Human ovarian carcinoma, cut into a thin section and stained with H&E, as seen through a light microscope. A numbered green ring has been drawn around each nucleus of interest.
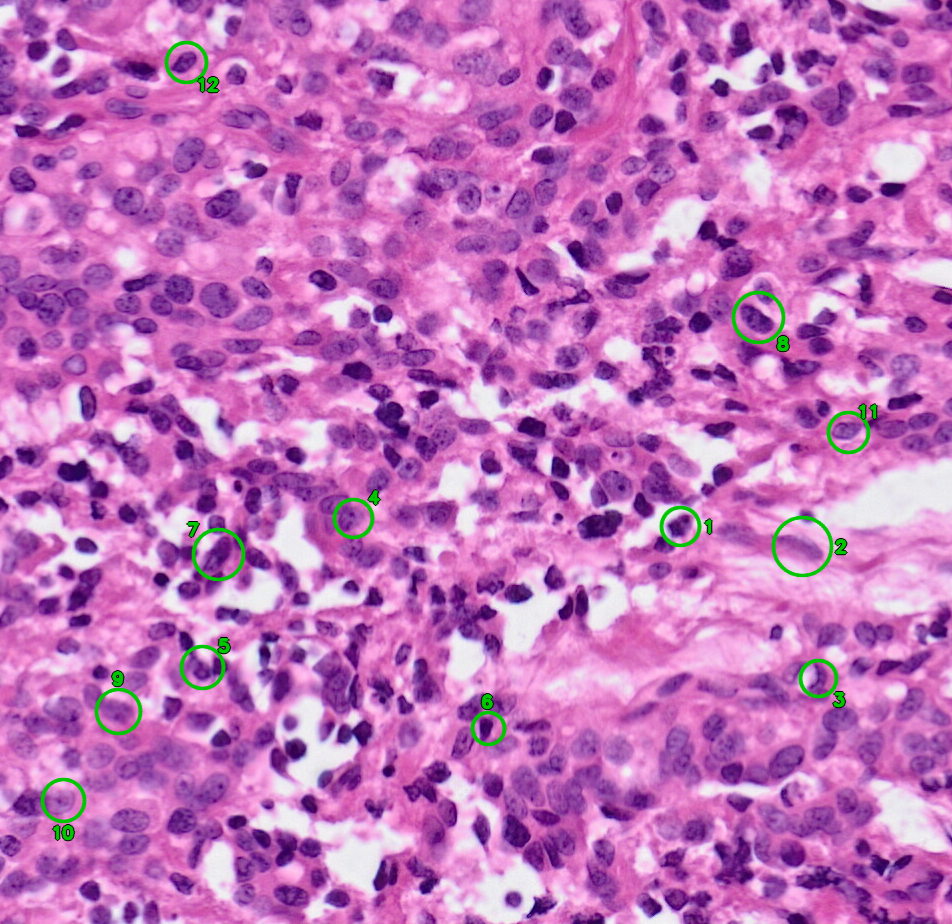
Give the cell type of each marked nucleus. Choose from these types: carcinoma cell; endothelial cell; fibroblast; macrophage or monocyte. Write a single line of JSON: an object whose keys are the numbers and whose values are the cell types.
{"1": "carcinoma cell", "2": "fibroblast", "3": "endothelial cell", "4": "carcinoma cell", "5": "carcinoma cell", "6": "carcinoma cell", "7": "carcinoma cell", "8": "macrophage or monocyte", "9": "carcinoma cell", "10": "carcinoma cell", "11": "macrophage or monocyte", "12": "macrophage or monocyte"}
